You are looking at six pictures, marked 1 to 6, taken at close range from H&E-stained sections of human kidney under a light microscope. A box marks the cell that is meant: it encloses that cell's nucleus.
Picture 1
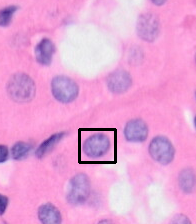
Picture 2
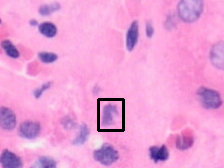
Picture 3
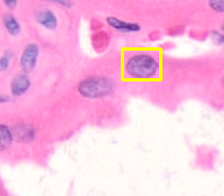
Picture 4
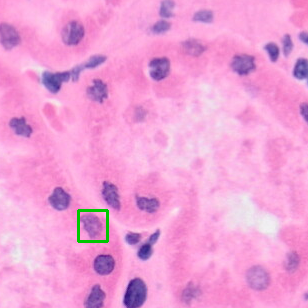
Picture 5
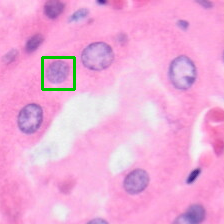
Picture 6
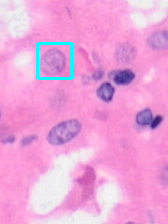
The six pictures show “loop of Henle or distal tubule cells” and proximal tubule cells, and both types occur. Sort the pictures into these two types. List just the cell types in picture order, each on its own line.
loop of Henle or distal tubule cell
loop of Henle or distal tubule cell
proximal tubule cell
proximal tubule cell
proximal tubule cell
proximal tubule cell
